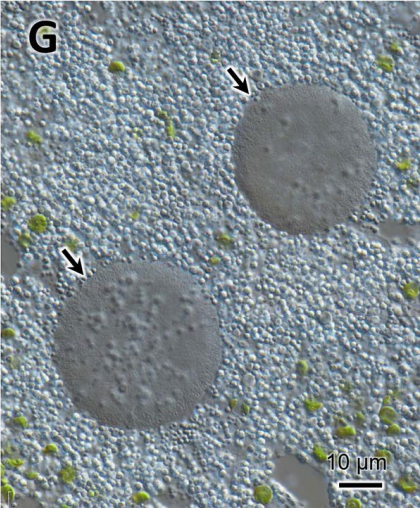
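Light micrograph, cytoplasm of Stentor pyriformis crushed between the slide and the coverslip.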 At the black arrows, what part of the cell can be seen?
Spherical macronuclei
